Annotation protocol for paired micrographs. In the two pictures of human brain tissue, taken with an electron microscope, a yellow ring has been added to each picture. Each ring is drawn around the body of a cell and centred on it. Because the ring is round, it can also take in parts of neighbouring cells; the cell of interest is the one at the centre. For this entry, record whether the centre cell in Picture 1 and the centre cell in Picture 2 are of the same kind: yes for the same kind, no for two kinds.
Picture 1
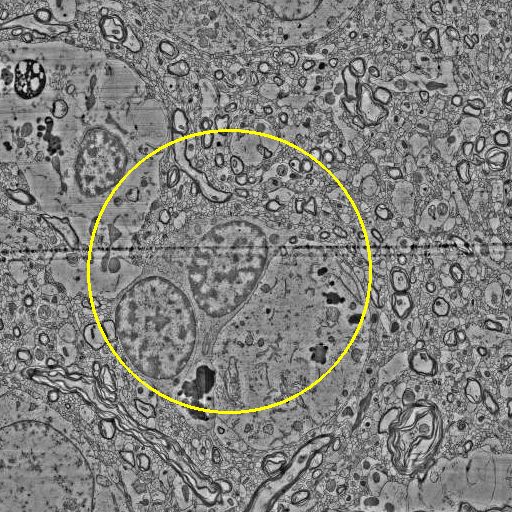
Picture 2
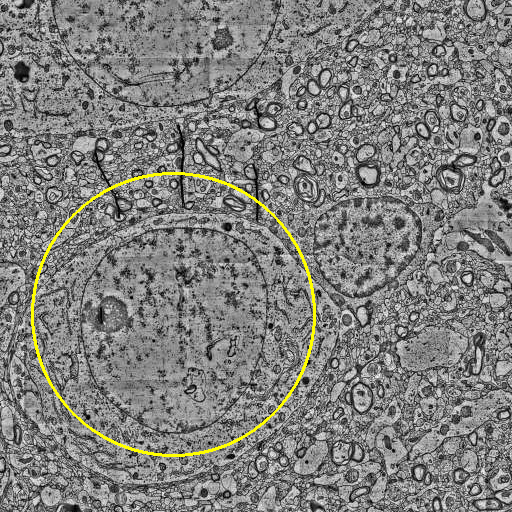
no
